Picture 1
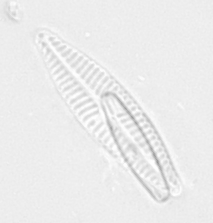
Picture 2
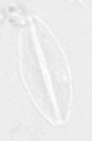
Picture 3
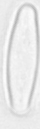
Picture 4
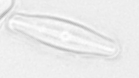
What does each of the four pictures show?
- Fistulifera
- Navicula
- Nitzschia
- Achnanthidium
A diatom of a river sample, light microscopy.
1. Navicula
2. Fistulifera
3. Achnanthidium
4. Achnanthidium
